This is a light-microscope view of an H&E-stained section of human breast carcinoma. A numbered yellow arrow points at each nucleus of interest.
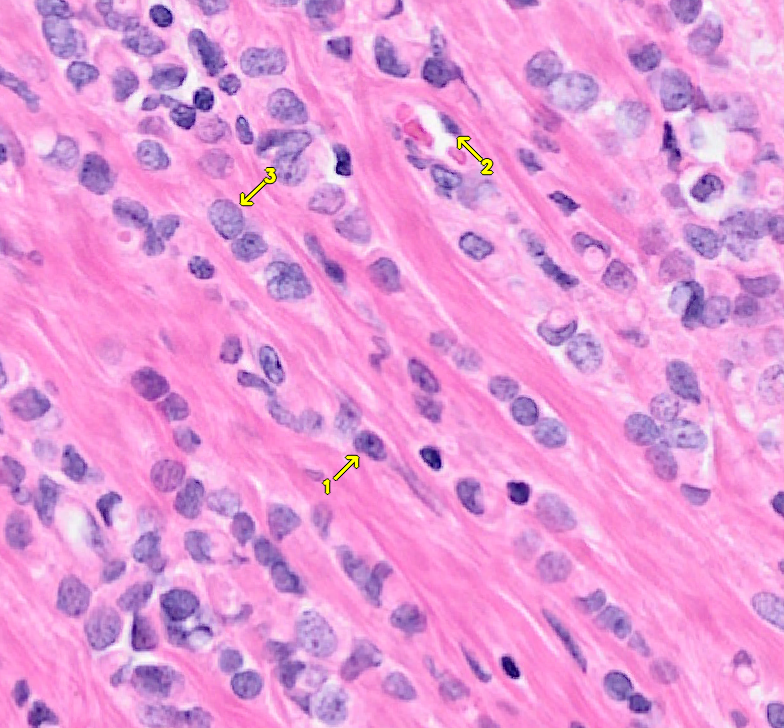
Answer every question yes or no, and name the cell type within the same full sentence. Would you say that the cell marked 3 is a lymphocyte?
No, cell 3 should be classed as a carcinoma cell, not as a lymphocyte.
